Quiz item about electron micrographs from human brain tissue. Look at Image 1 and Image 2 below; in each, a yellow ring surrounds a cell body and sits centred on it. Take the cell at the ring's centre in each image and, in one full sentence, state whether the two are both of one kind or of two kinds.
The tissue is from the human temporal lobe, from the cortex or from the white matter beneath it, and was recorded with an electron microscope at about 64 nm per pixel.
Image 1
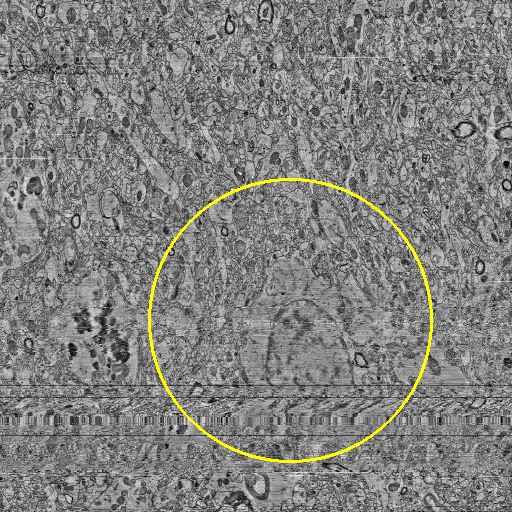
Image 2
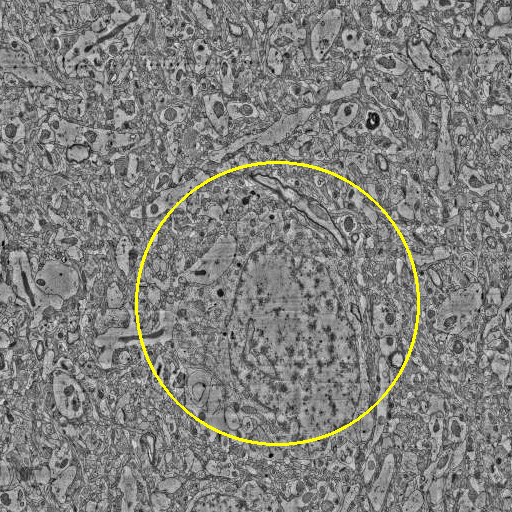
In Image 1 and Image 2, the cells at the ring centres are of two kinds.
